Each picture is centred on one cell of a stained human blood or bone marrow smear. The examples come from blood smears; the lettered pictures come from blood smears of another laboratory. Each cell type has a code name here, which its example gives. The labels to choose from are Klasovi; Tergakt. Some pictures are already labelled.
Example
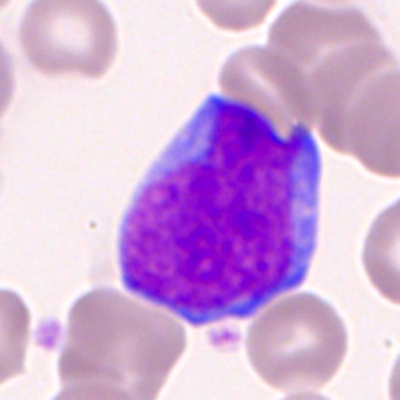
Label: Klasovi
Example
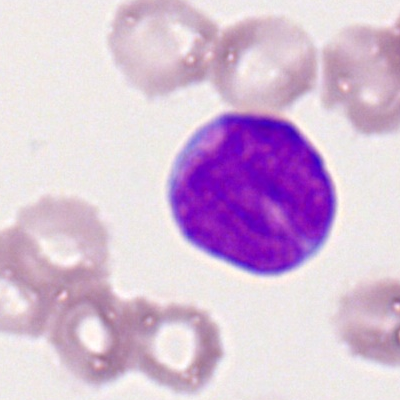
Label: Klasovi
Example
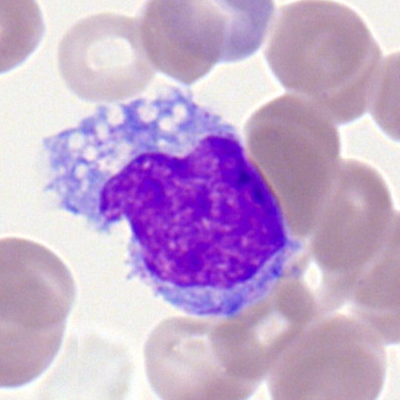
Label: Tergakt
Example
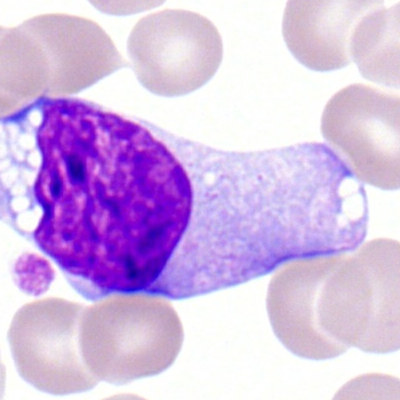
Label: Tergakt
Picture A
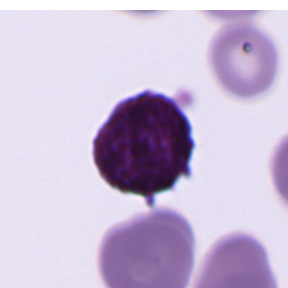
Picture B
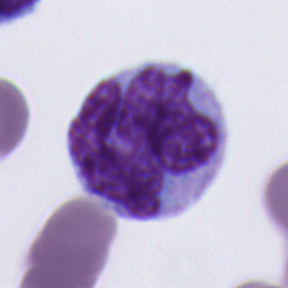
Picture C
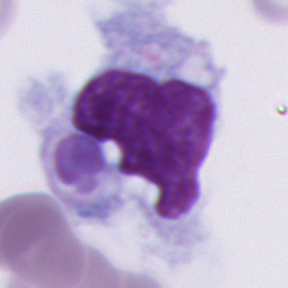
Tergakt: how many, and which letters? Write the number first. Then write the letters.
2, namely B, C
